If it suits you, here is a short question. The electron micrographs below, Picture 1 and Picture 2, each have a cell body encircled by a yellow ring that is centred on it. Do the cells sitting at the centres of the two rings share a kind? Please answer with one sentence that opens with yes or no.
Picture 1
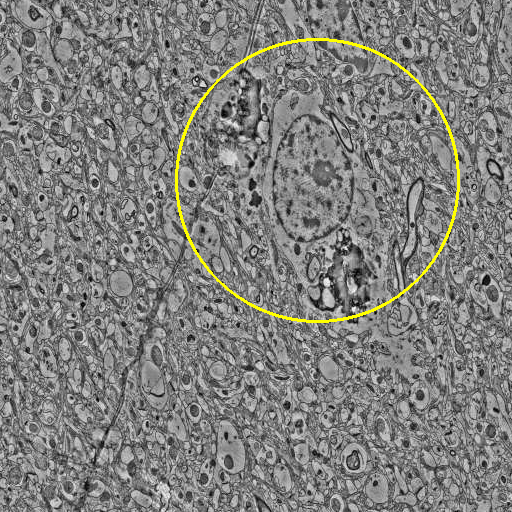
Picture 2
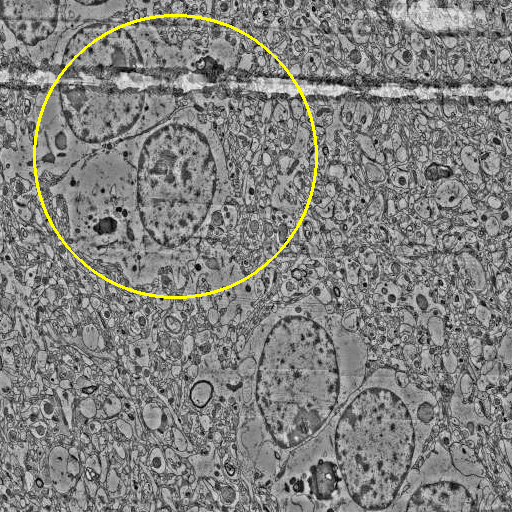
Yes, the two cells sitting at the ring centres share a single kind.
